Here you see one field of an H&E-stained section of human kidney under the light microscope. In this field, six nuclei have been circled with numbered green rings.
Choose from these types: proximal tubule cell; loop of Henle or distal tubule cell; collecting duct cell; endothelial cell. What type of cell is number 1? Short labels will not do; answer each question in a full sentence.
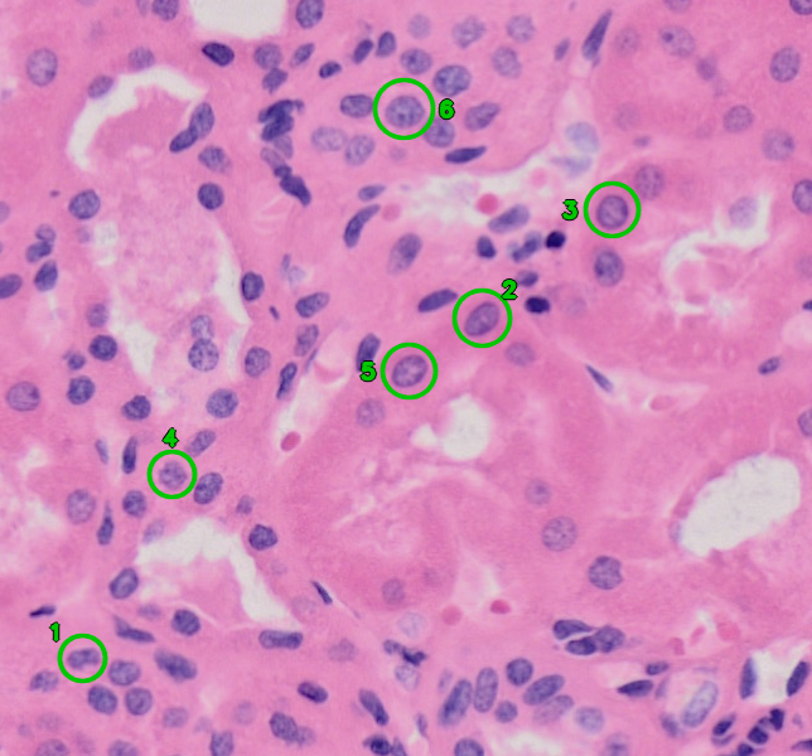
Cell 1 in the field is a loop of Henle or distal tubule cell.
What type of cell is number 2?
In the tissue shown, cell 2 is a proximal tubule cell.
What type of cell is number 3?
The cell marked with the number 3 is a proximal tubule cell.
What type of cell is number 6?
The nucleus labeled 6 belongs to a loop of Henle or distal tubule cell.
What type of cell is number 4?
In this section, number 4 marks a loop of Henle or distal tubule cell.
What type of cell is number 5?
The numeral 5 marks a proximal tubule cell in this section.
